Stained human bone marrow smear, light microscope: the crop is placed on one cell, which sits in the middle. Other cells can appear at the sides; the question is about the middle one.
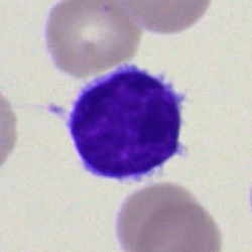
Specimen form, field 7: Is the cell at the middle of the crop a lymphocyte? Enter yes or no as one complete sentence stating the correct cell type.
Yes, the one cell at the centre is a lymphocyte.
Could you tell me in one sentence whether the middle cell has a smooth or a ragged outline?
Not smooth, the outline of the cell is ragged or drawn out into projections.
